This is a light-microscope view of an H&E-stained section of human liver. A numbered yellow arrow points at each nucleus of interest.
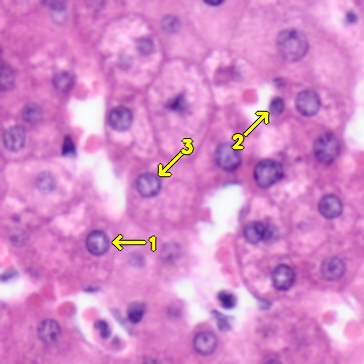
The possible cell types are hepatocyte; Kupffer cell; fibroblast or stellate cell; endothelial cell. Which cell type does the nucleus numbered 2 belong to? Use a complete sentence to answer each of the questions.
The nucleus labeled 2 belongs to a Kupffer cell.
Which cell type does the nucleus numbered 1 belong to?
The cell assigned the number 1 is a hepatocyte.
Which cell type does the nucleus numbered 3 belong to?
The cell carrying label 3 is identified as a hepatocyte.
